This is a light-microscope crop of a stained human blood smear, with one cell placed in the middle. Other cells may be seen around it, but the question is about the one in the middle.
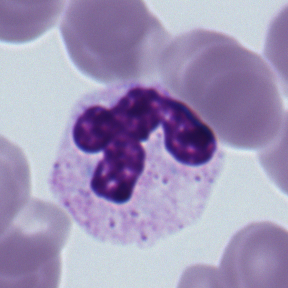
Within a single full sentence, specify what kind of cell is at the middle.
In short, the cell at the center is a segmented neutrophil.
